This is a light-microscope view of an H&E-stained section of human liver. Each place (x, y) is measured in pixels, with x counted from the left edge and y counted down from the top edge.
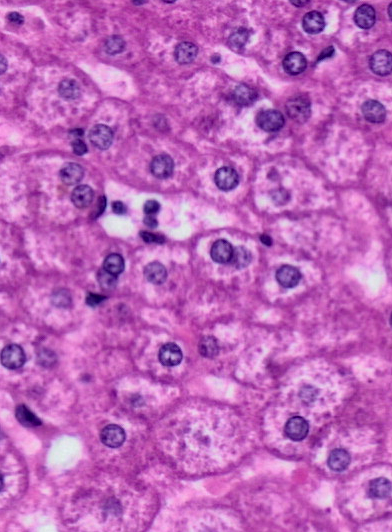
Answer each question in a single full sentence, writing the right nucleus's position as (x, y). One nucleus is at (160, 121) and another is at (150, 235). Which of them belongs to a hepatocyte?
The one at (160, 121) is the nucleus belonging to a hepatocyte, not the other one.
